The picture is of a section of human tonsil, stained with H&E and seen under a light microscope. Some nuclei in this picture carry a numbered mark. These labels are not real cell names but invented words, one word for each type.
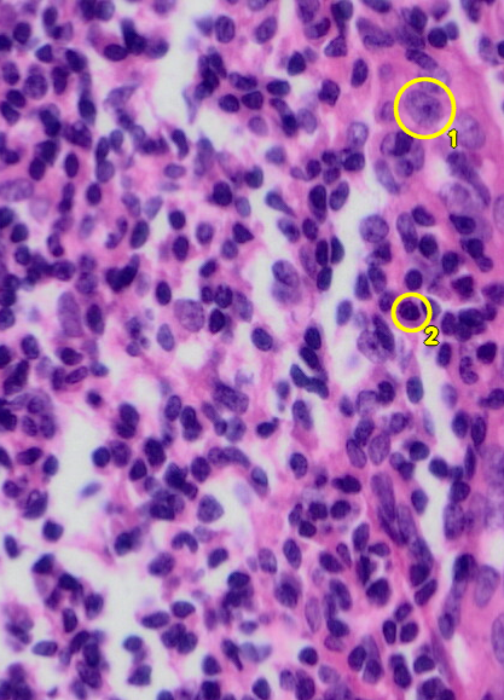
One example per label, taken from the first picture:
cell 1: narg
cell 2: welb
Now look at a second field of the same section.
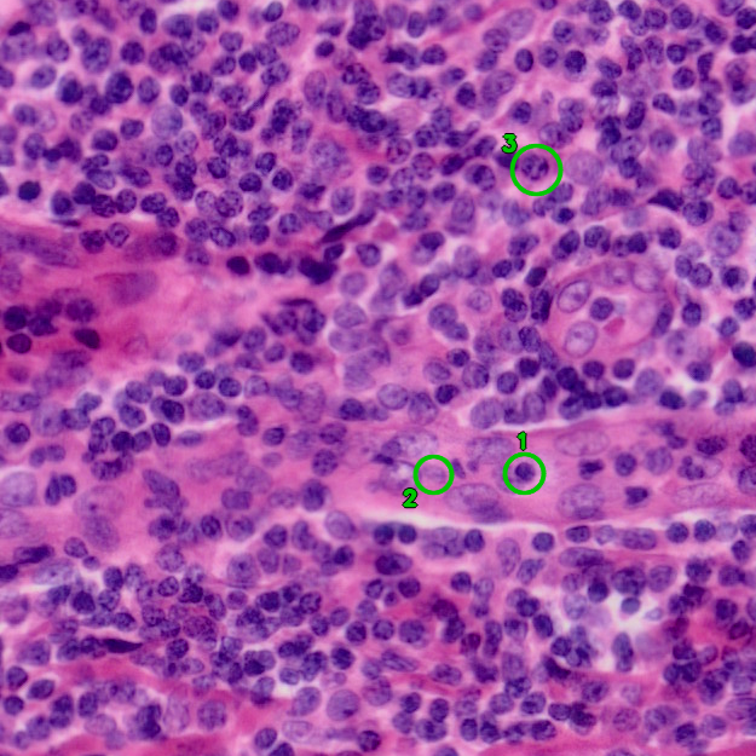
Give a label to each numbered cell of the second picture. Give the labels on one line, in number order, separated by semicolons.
narg; narg; welb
